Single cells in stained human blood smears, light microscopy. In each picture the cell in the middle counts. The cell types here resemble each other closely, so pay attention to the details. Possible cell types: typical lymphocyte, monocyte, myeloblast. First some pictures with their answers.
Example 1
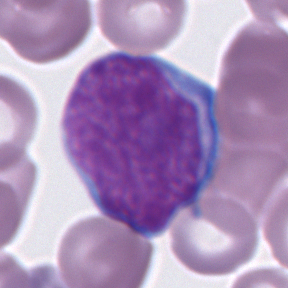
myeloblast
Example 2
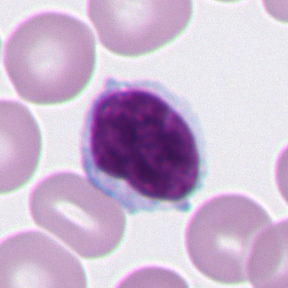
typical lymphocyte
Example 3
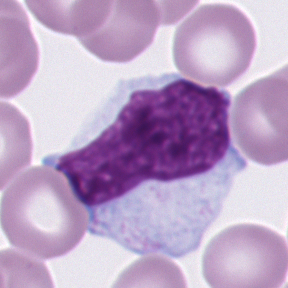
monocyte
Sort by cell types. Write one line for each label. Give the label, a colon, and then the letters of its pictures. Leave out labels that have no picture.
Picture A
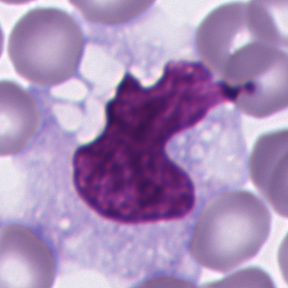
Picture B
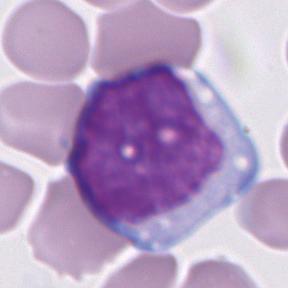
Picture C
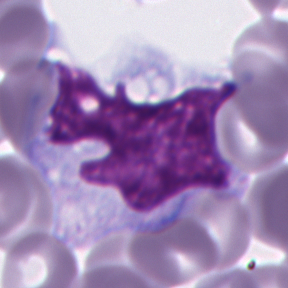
monocyte: A, C
myeloblast: B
